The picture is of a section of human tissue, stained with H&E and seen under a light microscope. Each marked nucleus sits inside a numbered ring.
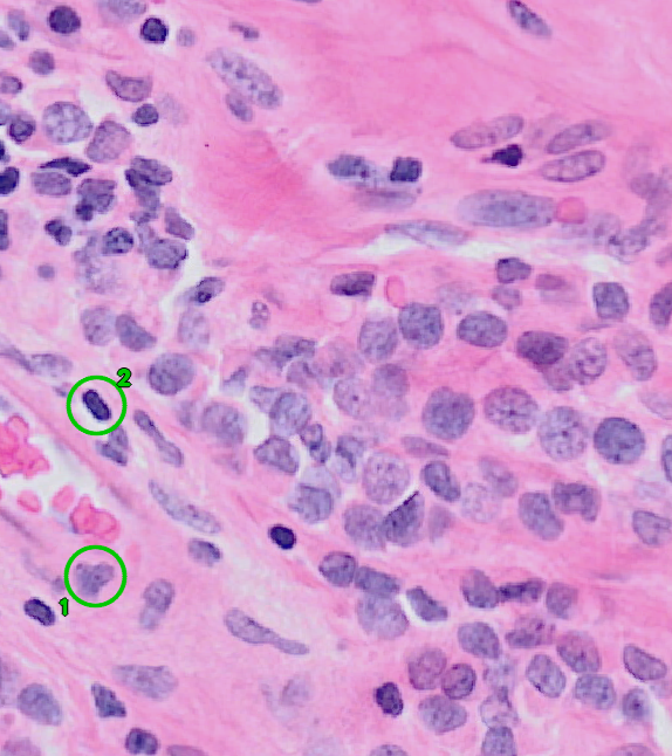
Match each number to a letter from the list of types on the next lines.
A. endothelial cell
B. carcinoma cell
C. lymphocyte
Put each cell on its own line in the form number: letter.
1: A
2: C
